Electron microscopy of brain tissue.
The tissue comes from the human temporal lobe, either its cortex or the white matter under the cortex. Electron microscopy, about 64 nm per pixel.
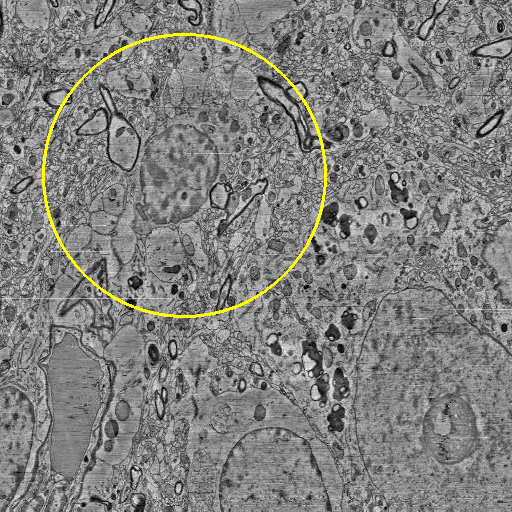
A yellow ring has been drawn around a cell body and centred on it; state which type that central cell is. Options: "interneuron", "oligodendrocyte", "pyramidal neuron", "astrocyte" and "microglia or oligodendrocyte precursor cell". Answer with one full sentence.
The cell at the middle of the yellow ring is an oligodendrocyte in this picture.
